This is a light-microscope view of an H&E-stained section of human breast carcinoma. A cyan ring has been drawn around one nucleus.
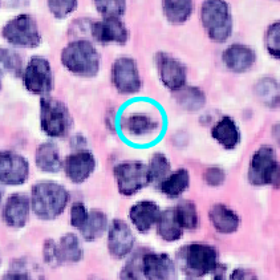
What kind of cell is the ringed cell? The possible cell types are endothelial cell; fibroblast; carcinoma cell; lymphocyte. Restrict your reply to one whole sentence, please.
In this section, the ringed cell is a lymphocyte.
